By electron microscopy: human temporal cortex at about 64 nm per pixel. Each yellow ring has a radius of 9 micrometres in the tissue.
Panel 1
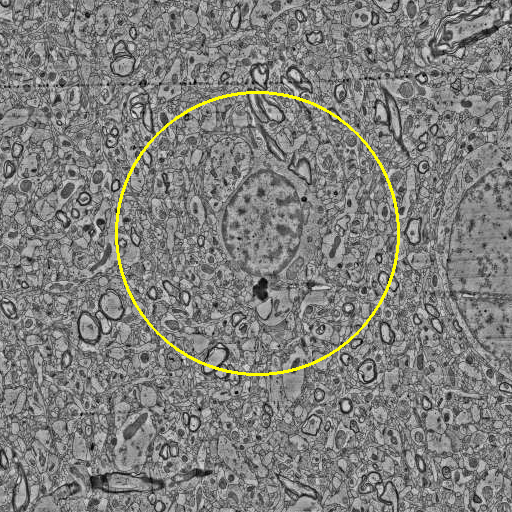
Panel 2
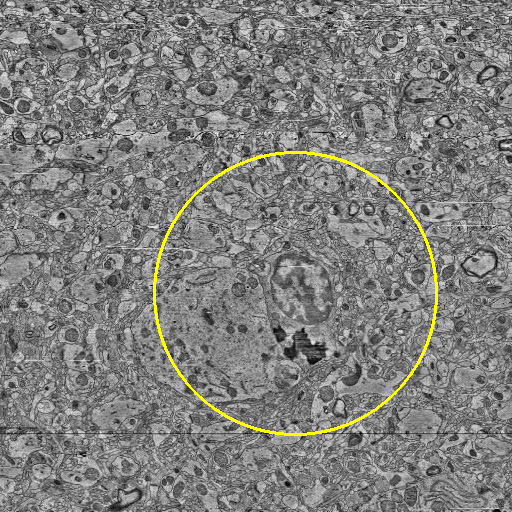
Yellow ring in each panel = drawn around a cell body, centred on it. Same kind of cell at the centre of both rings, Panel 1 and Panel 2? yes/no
yes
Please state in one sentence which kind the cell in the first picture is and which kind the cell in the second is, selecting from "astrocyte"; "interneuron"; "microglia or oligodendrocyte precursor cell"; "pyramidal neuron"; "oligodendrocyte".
Both cells are the same kind, each one being an oligodendrocyte.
